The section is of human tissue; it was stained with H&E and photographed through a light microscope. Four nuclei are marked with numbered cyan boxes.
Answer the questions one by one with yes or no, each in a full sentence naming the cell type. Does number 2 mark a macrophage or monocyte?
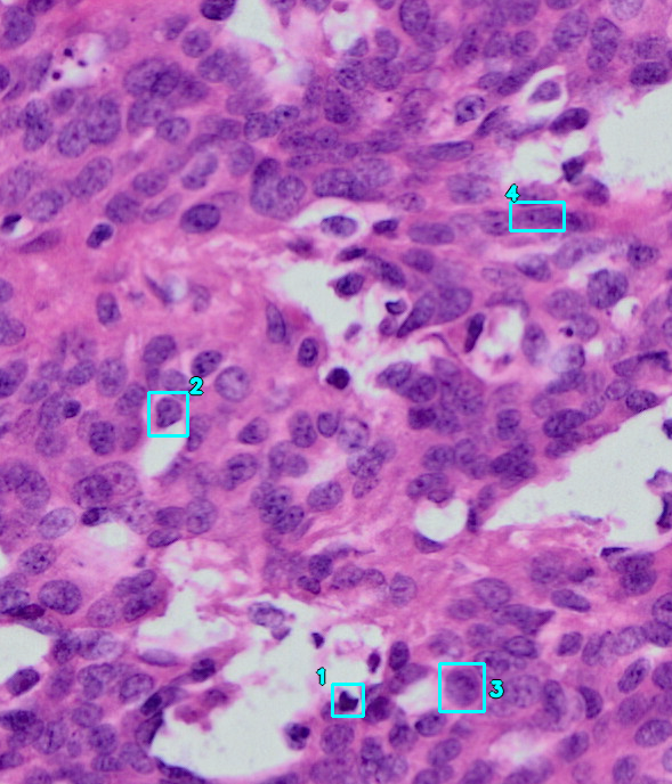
Yes, cell 2 among the marked cells is a macrophage or monocyte.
